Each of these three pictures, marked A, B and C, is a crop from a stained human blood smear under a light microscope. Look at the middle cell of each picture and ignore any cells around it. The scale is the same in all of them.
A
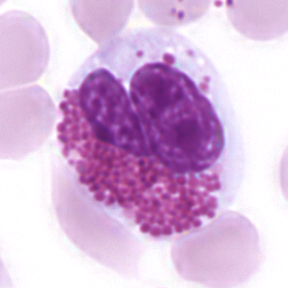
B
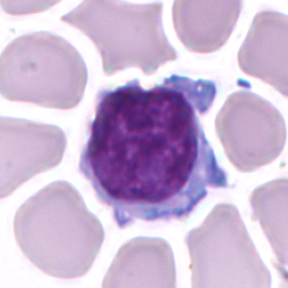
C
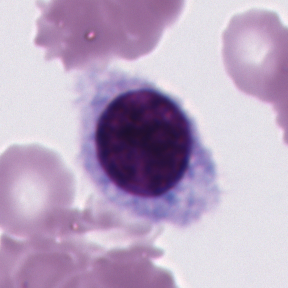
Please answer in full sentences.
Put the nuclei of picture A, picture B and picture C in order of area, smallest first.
Going up, they run C, B, A.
